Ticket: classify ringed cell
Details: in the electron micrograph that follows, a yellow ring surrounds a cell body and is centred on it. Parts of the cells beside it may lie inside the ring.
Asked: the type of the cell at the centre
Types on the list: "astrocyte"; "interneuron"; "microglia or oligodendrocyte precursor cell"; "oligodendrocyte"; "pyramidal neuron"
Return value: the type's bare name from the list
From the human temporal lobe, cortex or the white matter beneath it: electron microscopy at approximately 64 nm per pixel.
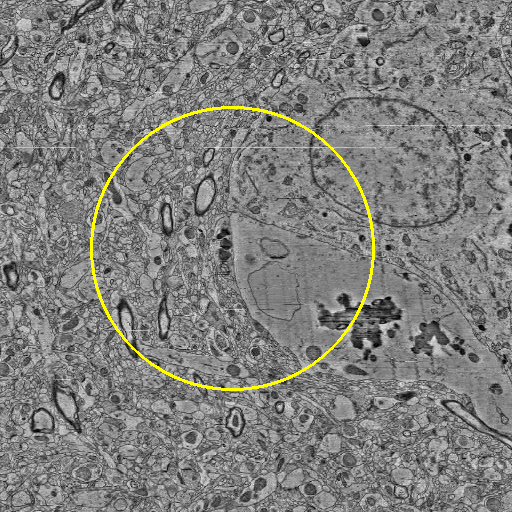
microglia or oligodendrocyte precursor cell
